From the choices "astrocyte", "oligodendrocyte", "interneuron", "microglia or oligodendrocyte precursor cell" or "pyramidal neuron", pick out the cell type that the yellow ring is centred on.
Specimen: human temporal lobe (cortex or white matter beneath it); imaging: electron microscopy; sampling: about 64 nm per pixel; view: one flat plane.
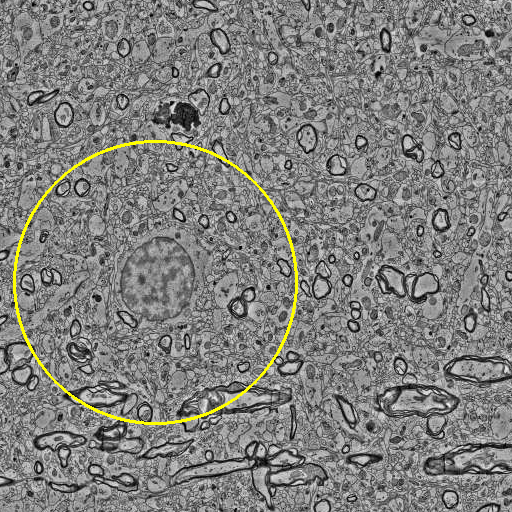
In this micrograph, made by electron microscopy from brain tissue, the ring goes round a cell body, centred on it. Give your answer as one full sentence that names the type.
The yellow ring is centred on an oligodendrocyte, whose cell body it encircles in the picture.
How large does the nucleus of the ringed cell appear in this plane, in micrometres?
The nucleus appears roughly 6 by 5 micrometres in this plane.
